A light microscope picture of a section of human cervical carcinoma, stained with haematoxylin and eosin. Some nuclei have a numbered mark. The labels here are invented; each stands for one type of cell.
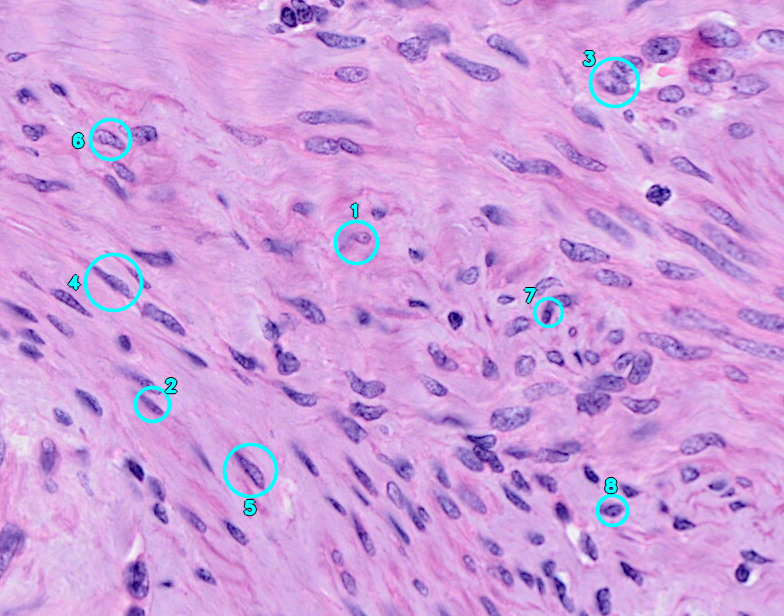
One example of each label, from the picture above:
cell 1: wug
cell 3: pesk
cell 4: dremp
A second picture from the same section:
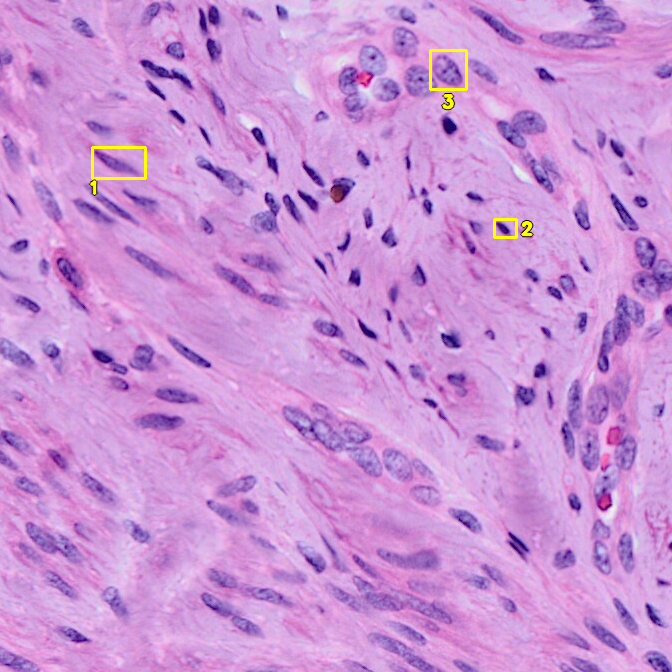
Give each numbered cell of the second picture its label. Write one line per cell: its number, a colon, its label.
1: wug
2: dremp
3: pesk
